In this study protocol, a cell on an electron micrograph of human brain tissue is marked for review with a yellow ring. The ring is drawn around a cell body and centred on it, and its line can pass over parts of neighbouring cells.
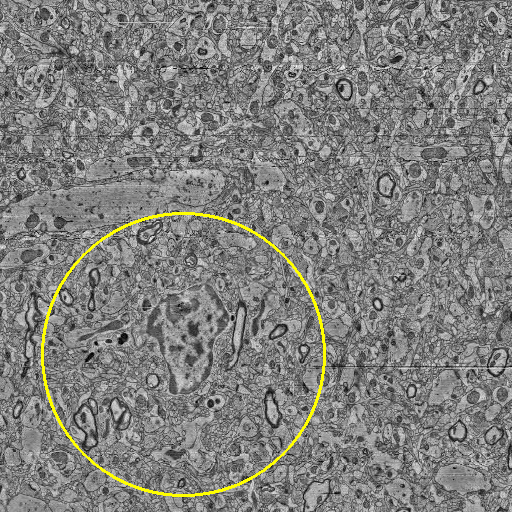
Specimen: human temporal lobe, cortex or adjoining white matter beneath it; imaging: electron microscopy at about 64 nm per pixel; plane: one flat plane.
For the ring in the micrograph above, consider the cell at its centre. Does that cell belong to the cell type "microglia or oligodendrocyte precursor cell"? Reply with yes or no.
yes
